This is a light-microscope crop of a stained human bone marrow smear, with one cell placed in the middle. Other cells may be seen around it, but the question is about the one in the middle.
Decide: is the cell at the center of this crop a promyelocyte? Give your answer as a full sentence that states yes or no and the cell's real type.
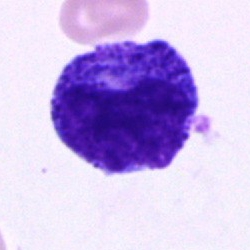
Yes, the crop's central cell is a promyelocyte.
